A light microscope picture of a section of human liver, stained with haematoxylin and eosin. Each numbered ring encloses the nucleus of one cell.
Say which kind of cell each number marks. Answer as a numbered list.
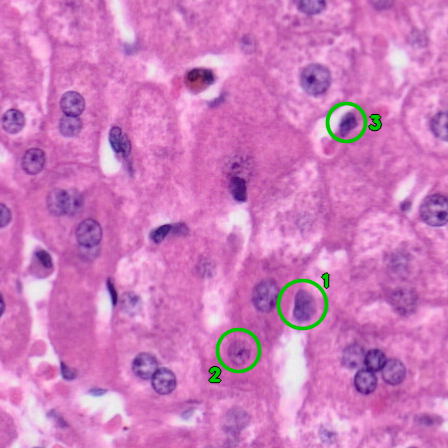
1. endothelial cell
2. hepatocyte
3. Kupffer cell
